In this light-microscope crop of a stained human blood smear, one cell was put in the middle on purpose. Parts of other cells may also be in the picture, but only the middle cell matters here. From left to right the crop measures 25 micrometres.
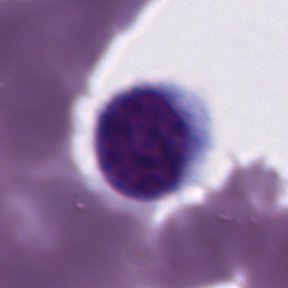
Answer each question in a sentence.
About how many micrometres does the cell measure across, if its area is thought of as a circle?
The cell is about 11 micrometres across.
